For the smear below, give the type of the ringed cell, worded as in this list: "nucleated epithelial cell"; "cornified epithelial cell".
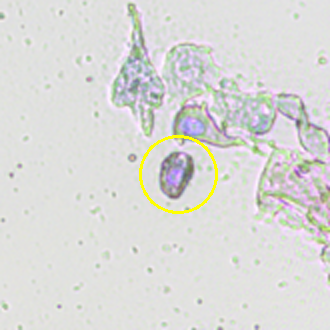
nucleated epithelial cell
